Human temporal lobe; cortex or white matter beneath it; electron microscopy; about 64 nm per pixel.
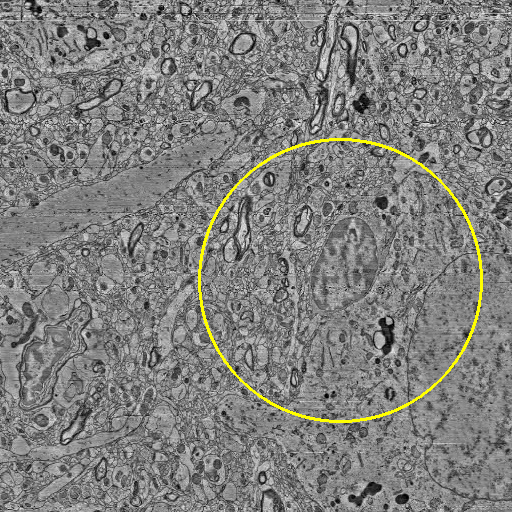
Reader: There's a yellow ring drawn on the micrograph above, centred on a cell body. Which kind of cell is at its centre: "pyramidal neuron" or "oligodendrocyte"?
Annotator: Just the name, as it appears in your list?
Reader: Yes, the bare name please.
oligodendrocyte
